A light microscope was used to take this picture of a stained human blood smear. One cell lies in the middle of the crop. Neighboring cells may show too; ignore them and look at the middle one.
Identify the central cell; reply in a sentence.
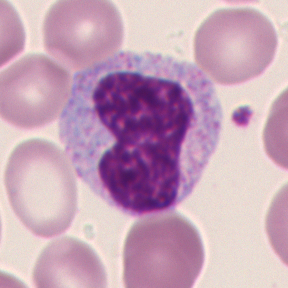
On this slide crop, the central cell is a band neutrophil.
